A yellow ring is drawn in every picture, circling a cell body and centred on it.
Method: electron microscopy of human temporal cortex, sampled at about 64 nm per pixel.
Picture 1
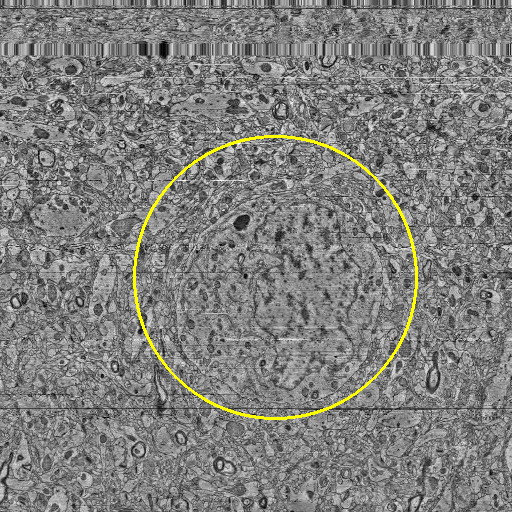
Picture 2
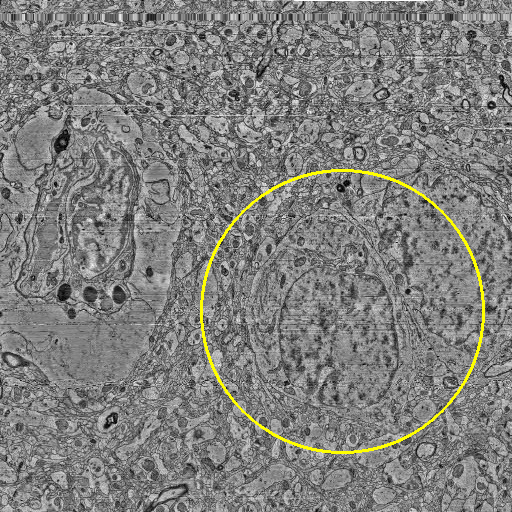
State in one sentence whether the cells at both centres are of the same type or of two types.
The cells at the two ring centres, one per picture, are of the same type.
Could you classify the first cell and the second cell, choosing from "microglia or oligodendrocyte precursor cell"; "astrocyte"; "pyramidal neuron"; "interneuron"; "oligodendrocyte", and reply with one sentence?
In both pictures the ring is centred on an interneuron.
